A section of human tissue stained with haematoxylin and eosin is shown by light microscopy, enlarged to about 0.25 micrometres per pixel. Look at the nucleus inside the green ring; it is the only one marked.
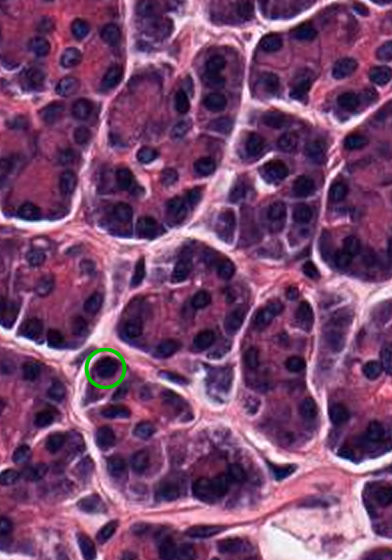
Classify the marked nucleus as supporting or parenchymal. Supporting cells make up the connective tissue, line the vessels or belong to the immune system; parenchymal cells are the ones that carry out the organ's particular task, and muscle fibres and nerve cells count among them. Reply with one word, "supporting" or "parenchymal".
parenchymal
